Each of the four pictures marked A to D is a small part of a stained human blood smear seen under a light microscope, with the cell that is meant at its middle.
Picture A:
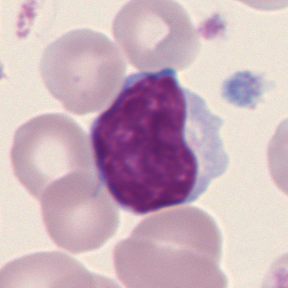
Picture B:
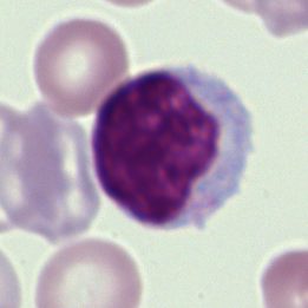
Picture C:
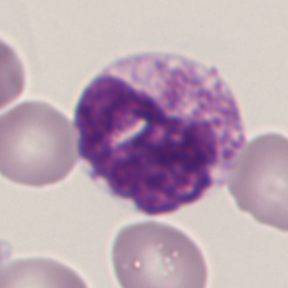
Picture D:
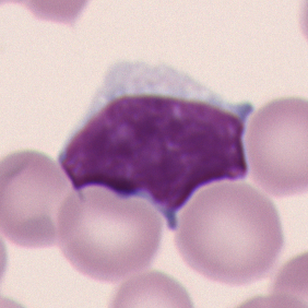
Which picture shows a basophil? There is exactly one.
C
